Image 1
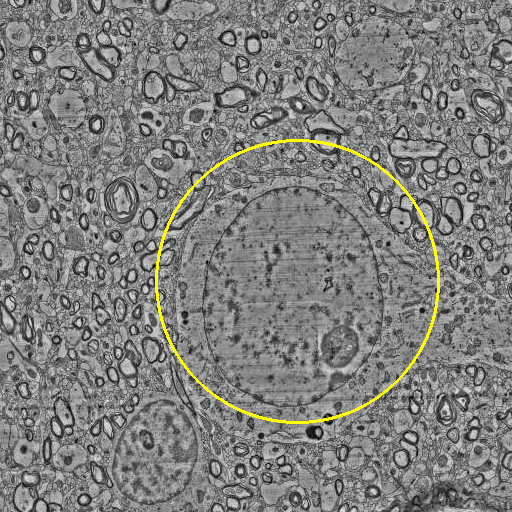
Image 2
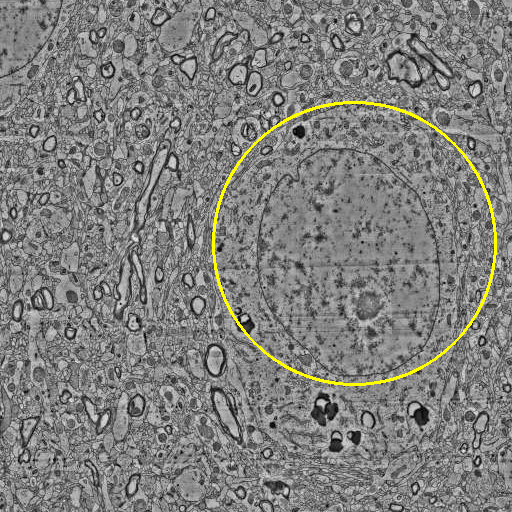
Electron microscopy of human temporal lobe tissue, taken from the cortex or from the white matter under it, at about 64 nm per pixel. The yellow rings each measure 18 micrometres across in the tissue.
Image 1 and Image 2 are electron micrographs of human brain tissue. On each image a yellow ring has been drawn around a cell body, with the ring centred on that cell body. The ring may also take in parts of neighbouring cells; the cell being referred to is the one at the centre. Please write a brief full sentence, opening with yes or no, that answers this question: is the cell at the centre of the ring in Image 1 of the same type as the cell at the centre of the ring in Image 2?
Yes, both cells are of the same type.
